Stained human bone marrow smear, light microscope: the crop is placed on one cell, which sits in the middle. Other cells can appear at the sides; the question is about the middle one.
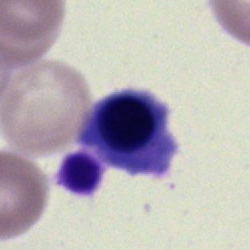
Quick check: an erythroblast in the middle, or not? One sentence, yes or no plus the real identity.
Yes, the middle of the crop is occupied by an erythroblast.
